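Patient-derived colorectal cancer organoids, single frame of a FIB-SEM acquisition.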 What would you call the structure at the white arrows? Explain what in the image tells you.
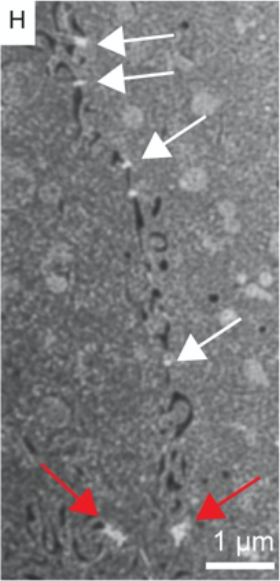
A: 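Cell junctions. The arrows point to small bright dense spots along a thin line between two cells. The spots sit at intervals along the cell boundary.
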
